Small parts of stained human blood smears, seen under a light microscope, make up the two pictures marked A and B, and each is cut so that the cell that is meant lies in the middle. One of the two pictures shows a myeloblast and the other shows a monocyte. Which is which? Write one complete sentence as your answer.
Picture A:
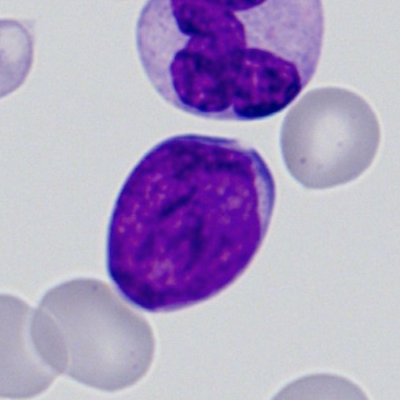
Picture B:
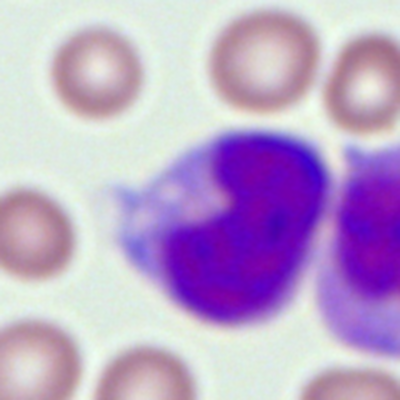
The cell in picture A is a myeloblast, and the one in picture B is a monocyte.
